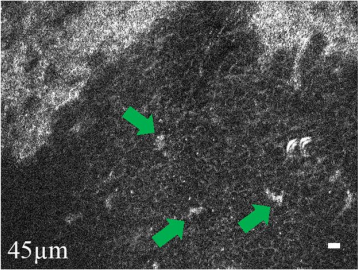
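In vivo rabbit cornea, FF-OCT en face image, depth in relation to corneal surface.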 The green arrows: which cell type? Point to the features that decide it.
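Small bright irregular bodies with short processes lie at the arrow tips. So: dendritic cells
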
